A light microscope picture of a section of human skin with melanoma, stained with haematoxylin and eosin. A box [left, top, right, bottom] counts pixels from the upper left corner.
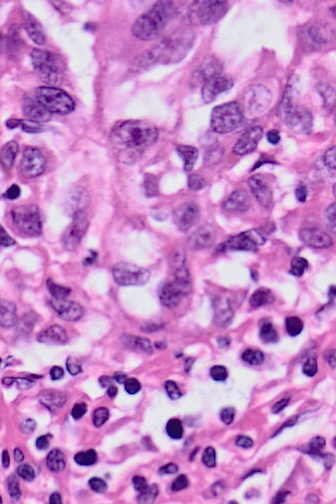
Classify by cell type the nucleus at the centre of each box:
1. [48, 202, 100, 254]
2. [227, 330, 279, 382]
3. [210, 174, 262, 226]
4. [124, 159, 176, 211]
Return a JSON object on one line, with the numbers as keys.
{"1": "melanoma cell", "2": "plasma cell", "3": "melanoma cell", "4": "melanoma cell"}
